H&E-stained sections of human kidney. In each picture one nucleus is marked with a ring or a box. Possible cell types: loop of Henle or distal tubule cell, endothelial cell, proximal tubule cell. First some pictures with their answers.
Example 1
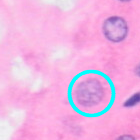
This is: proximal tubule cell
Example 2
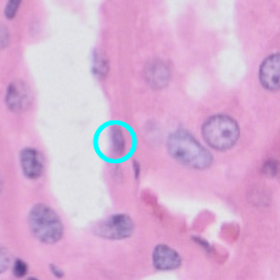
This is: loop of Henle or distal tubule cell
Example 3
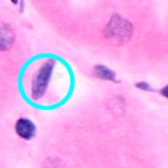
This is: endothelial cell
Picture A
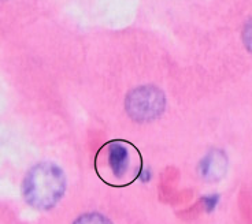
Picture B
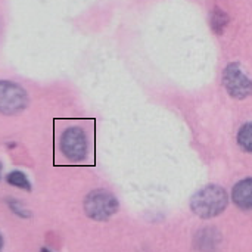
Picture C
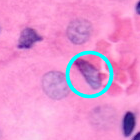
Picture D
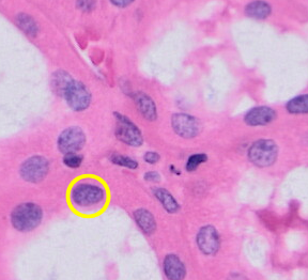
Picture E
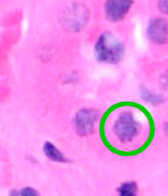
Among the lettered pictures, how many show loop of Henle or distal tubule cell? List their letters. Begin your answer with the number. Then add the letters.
3, namely B, D, E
